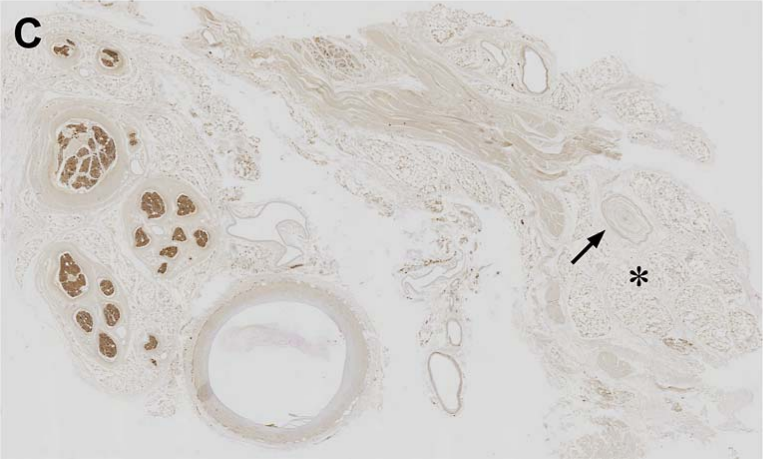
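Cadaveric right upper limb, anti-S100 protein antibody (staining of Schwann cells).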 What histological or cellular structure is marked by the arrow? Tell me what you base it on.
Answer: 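The arrow points to a small oval body with concentric rings. It lies in pale fatty tissue. So: a Pacinian corpuscle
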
